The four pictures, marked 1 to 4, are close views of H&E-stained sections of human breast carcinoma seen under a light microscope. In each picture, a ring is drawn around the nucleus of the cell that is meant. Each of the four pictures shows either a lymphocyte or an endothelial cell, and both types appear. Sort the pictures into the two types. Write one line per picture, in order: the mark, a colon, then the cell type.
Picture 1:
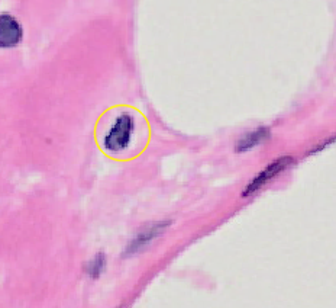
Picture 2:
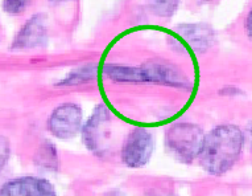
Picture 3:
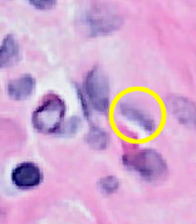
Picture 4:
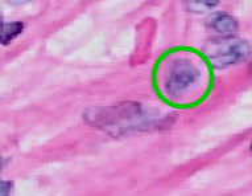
1: lymphocyte
2: endothelial cell
3: endothelial cell
4: endothelial cell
